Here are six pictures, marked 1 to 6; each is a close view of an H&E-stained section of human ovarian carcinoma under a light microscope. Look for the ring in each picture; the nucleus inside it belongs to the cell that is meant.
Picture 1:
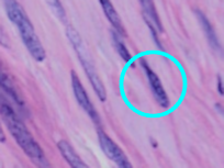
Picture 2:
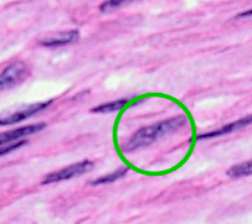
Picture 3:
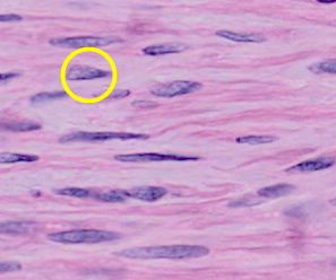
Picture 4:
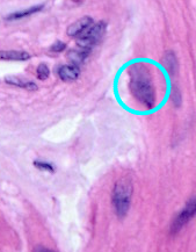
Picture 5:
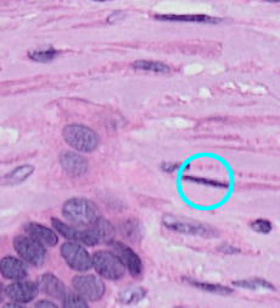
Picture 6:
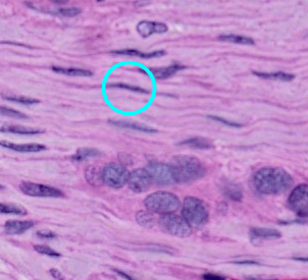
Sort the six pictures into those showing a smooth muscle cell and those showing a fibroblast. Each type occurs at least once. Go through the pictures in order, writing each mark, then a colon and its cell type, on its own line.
1: smooth muscle cell
2: fibroblast
3: smooth muscle cell
4: smooth muscle cell
5: fibroblast
6: fibroblast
